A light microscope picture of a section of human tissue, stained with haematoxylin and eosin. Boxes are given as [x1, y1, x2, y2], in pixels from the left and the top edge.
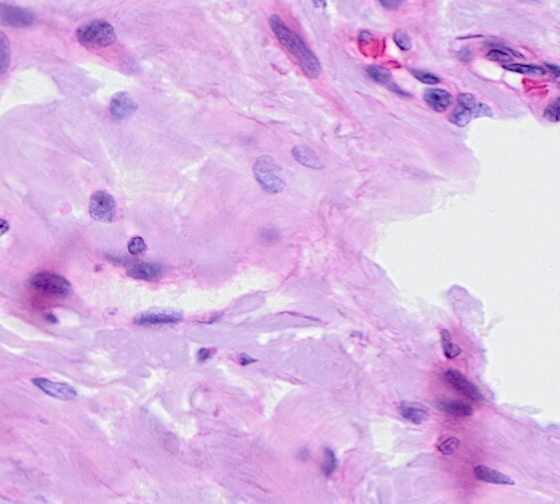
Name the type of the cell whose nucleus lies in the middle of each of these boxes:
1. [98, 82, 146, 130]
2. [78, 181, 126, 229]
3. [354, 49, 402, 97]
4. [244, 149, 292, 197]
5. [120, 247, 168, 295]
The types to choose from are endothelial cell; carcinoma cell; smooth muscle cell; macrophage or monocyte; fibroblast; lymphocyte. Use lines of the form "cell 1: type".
cell 1: fibroblast
cell 2: fibroblast
cell 3: endothelial cell
cell 4: fibroblast
cell 5: endothelial cell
